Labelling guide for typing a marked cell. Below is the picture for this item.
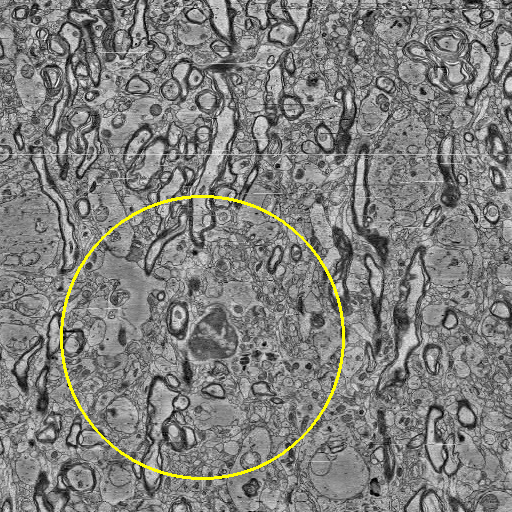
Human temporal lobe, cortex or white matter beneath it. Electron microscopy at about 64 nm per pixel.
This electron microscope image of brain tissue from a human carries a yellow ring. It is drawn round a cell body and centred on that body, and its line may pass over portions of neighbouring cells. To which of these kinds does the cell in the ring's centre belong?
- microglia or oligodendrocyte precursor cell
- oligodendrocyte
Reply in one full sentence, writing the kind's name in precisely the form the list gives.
Here we have a microglial cell or oligodendrocyte precursor cell at the centre of the yellow ring in the picture.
